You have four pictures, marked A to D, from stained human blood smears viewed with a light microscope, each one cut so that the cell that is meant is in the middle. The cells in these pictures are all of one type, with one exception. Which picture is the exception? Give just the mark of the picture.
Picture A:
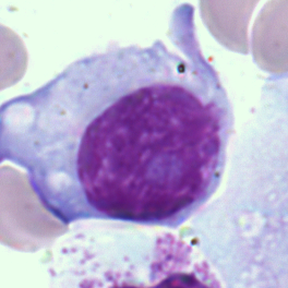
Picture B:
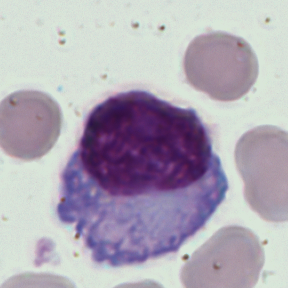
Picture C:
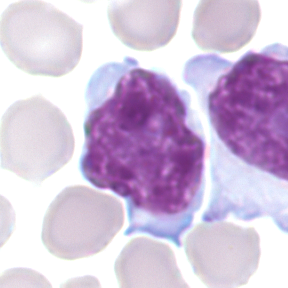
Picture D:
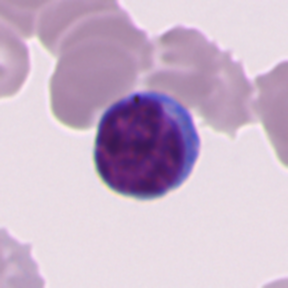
D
